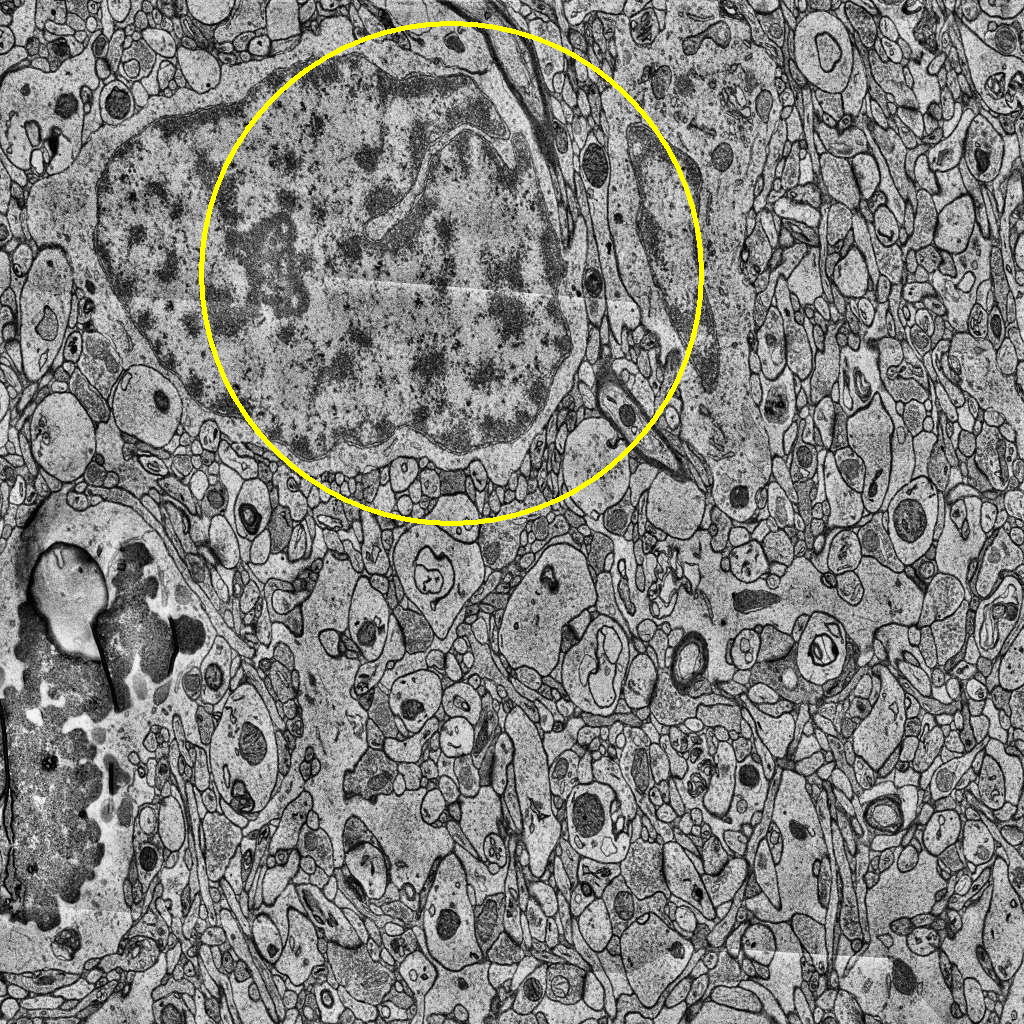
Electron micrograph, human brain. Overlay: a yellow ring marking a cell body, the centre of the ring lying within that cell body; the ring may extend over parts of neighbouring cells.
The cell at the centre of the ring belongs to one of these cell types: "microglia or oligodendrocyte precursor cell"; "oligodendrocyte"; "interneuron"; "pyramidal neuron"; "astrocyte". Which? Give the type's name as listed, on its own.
microglia or oligodendrocyte precursor cell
